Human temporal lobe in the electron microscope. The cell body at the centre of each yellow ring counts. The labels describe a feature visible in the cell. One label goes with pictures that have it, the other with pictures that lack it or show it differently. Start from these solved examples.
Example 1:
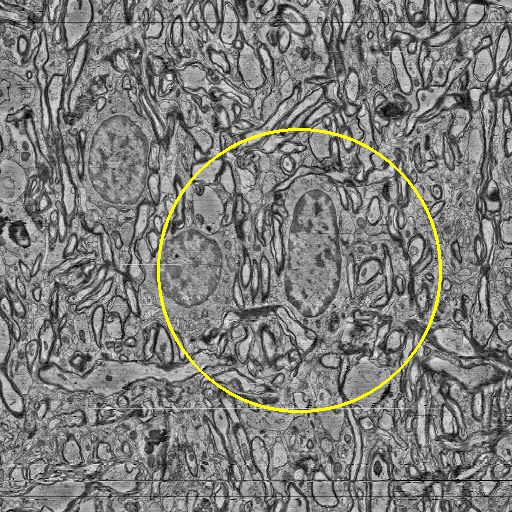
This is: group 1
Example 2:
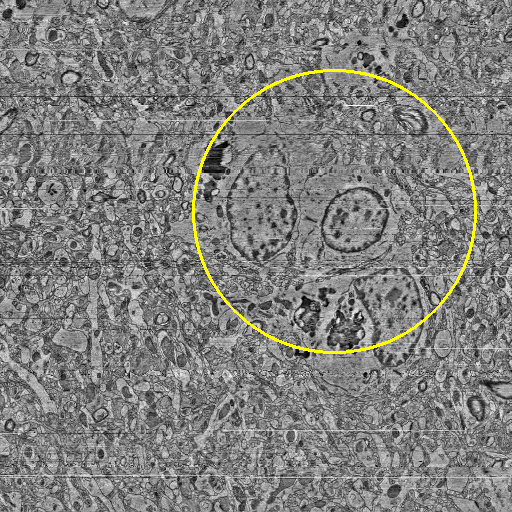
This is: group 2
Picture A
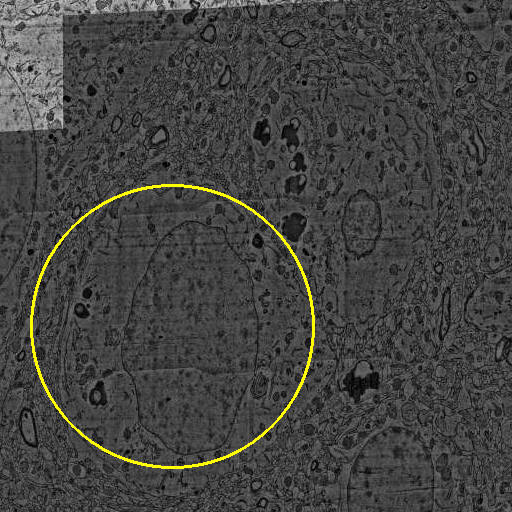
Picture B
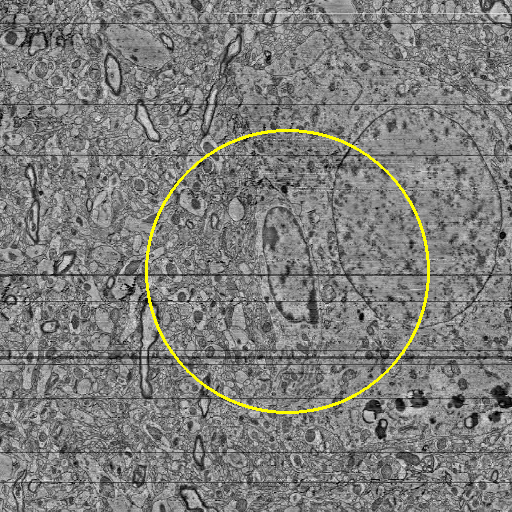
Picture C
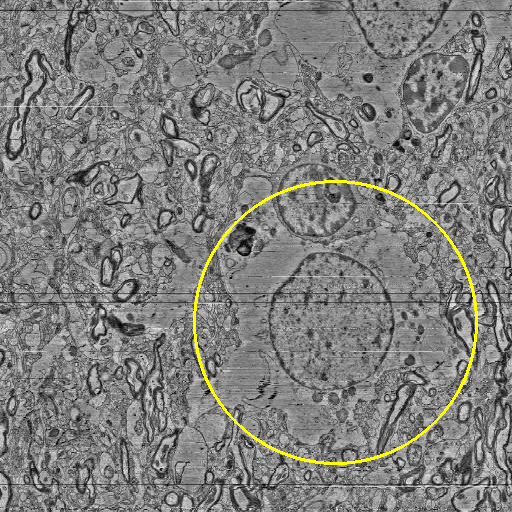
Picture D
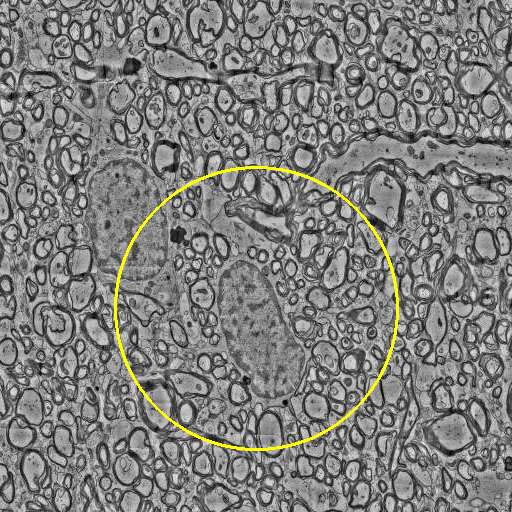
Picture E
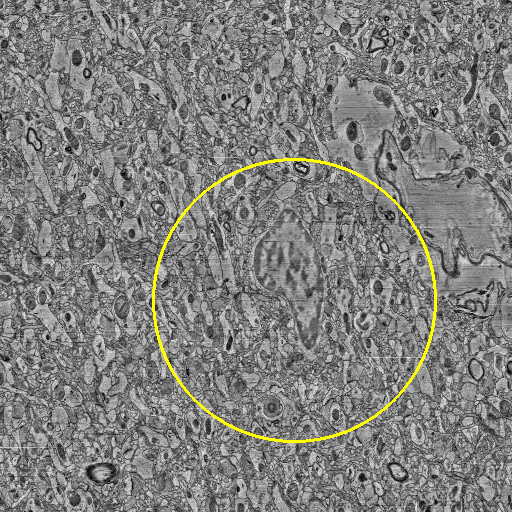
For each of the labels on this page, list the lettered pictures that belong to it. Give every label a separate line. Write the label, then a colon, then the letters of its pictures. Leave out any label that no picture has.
group 1: A, B, D, E
group 2: C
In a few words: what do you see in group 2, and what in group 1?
group 2, round or nearly round nuclei; group 1, clearly elongated nuclei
